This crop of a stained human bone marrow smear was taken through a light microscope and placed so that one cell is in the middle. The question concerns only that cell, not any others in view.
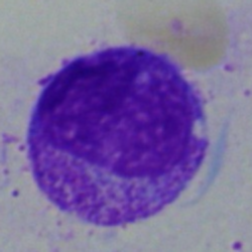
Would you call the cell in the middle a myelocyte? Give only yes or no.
yes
